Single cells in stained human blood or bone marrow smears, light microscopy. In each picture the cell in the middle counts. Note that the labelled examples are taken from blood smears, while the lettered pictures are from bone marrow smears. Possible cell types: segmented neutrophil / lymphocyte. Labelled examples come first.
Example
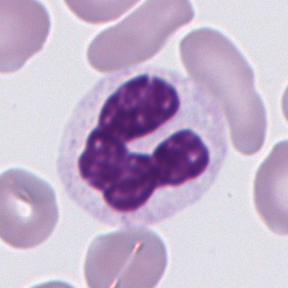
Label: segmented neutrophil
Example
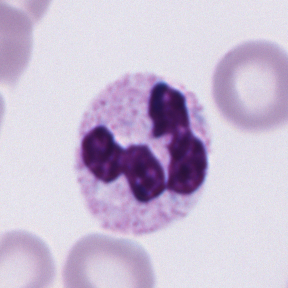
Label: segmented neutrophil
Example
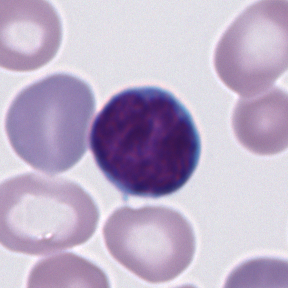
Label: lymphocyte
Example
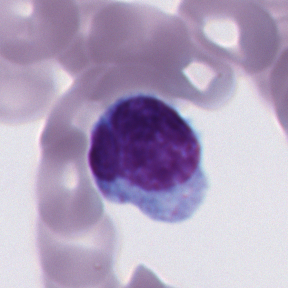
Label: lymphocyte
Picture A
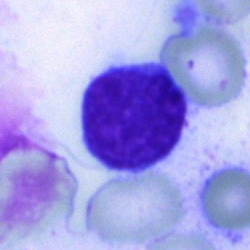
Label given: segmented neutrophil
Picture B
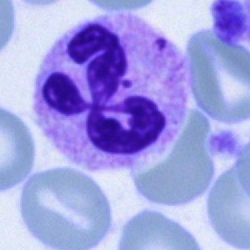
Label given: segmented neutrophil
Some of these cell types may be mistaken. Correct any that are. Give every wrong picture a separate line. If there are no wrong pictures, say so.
Wrong: A (segmented neutrophil); correct: lymphocyte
